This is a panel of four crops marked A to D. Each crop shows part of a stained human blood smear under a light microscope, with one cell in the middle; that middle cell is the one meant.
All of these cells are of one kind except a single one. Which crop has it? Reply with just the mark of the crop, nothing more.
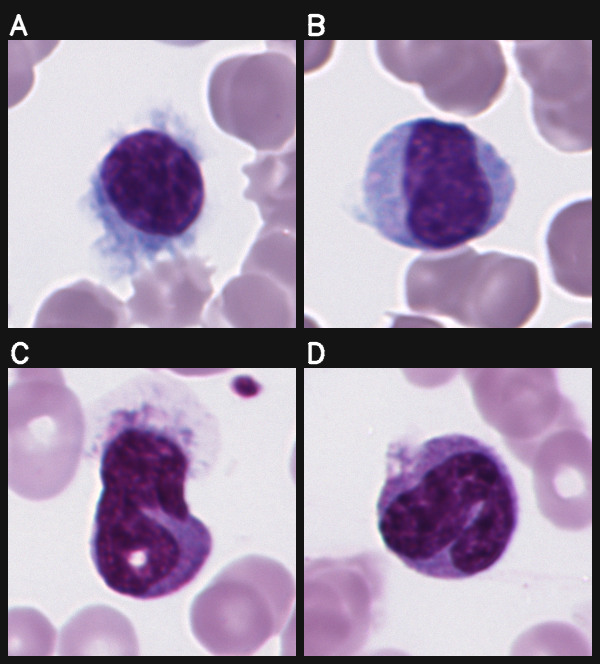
A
